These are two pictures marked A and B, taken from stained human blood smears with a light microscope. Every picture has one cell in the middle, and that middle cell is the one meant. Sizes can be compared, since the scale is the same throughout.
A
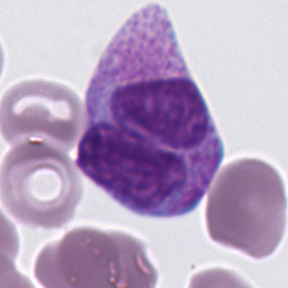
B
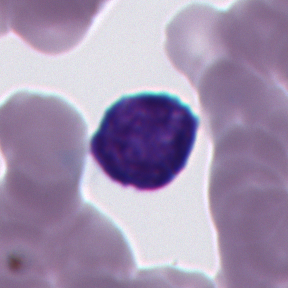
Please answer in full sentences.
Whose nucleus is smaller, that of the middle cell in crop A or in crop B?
Smaller is the nucleus in crop B, and the other is about 1.5 times as large in area.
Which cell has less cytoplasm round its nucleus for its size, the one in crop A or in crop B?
The nucleus fills more of the cell in crop B than in crop A.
